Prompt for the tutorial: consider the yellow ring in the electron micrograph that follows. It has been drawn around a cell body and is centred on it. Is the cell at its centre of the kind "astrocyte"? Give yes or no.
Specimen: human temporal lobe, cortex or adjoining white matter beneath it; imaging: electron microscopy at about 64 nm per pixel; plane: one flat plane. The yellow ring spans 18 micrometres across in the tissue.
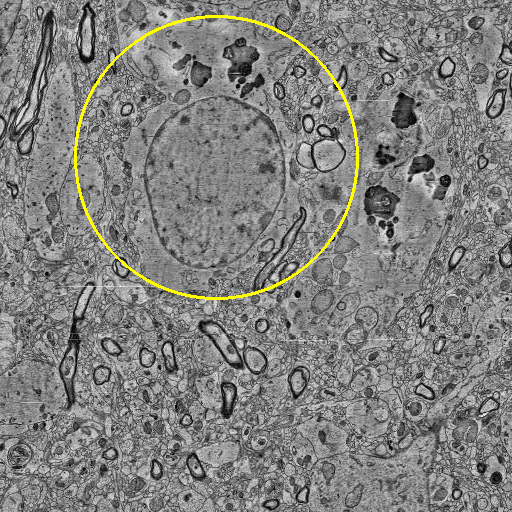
yes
